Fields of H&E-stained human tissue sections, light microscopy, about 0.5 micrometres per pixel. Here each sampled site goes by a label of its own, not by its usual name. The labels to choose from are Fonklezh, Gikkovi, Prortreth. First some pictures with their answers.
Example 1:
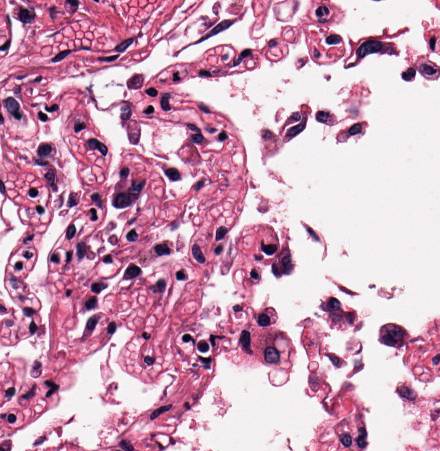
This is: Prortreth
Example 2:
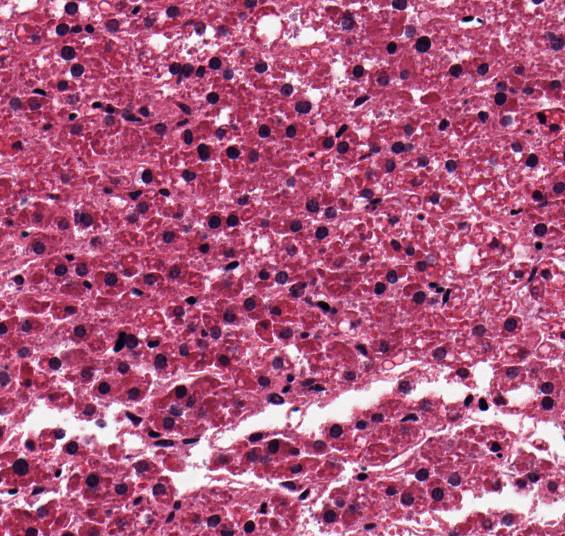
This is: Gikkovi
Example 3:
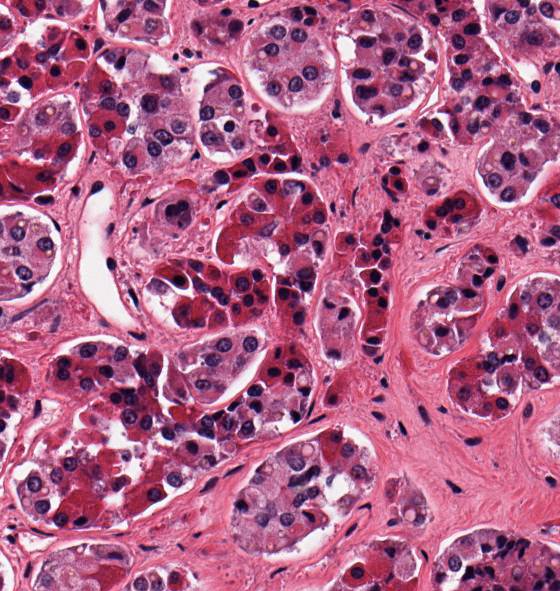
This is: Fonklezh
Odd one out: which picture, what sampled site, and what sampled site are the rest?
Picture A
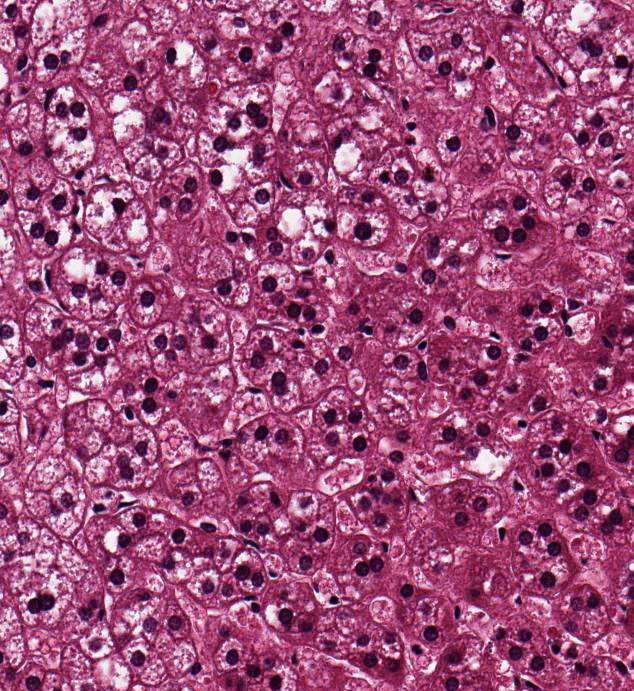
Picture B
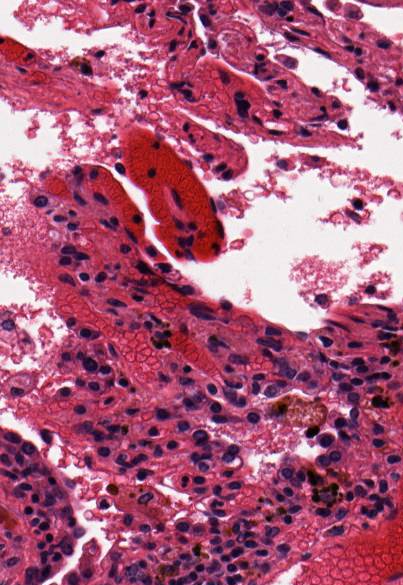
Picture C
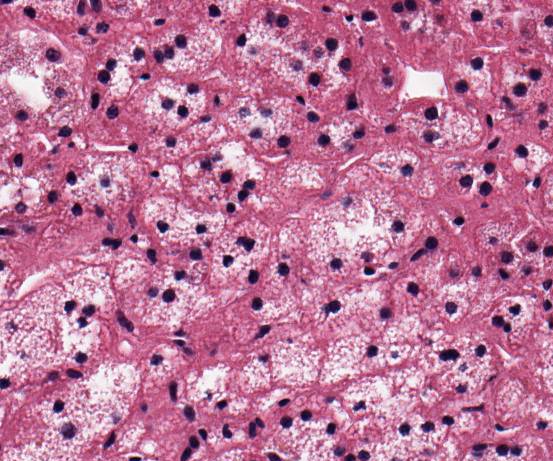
Odd one out: B (Prortreth). The rest: Gikkovi.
